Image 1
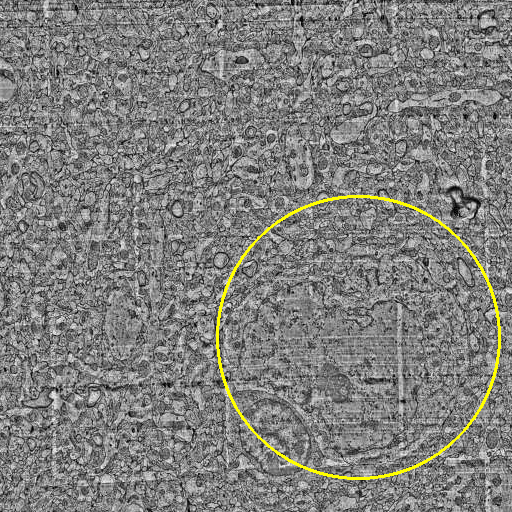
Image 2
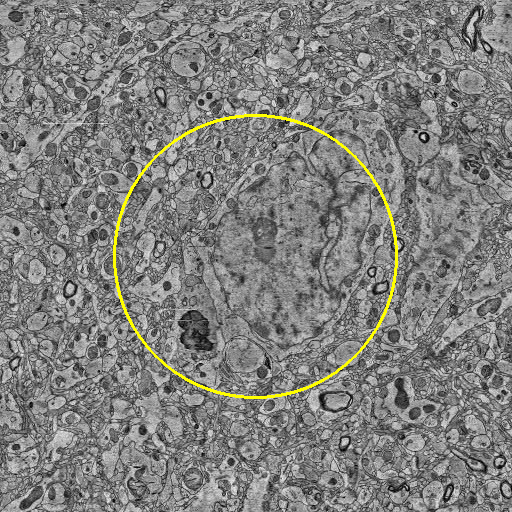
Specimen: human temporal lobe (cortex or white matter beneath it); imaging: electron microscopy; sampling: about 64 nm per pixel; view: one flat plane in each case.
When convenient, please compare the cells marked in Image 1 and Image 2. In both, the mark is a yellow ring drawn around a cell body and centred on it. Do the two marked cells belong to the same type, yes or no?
yes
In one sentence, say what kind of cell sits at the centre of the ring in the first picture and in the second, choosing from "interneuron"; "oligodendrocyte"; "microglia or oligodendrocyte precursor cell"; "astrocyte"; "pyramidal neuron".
Each cell, in the first picture and the second, is an interneuron.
